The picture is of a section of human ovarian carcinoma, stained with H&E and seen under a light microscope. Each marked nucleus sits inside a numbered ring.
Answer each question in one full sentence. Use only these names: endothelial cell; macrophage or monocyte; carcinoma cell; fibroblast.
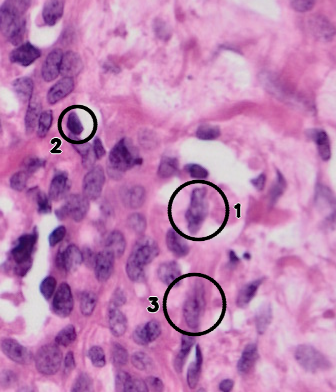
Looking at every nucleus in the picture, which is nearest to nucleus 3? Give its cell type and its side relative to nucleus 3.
The nearest one is a macrophage or monocyte, found above and to the left of nucleus 3.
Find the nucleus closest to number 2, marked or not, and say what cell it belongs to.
The cell nearest to number 2 is a carcinoma cell.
